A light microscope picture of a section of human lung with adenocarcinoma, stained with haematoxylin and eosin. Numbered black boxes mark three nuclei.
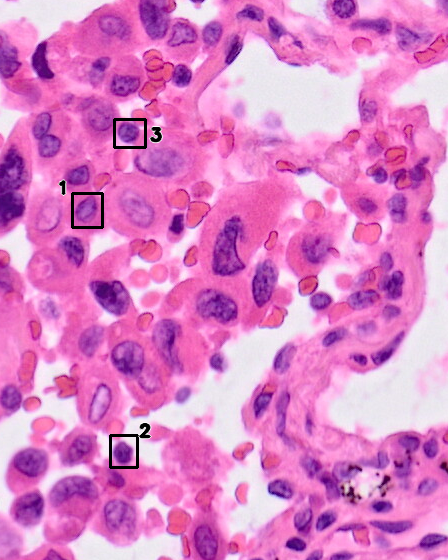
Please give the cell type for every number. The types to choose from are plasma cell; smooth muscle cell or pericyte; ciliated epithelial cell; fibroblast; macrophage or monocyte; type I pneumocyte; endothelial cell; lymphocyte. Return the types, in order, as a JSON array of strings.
["macrophage or monocyte", "lymphocyte", "lymphocyte"]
